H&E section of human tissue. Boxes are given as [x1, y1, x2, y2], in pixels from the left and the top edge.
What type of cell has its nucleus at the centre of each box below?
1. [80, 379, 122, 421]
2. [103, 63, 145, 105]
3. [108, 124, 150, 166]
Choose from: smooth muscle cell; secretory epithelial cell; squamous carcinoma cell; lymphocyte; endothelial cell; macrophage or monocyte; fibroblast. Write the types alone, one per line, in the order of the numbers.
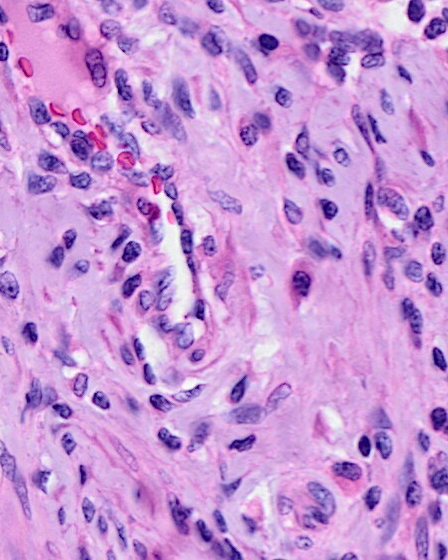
lymphocyte
lymphocyte
endothelial cell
